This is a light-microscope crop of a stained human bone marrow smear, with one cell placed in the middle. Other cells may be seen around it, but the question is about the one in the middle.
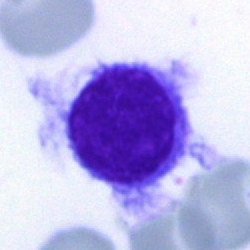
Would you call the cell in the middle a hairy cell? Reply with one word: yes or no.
yes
